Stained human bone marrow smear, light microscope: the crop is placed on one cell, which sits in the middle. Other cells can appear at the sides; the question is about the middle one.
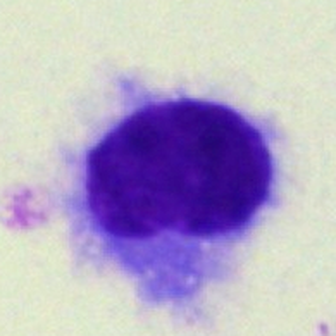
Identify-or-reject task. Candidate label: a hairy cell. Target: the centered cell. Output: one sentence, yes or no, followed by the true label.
Yes, the cell shown centrally is a hairy cell.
